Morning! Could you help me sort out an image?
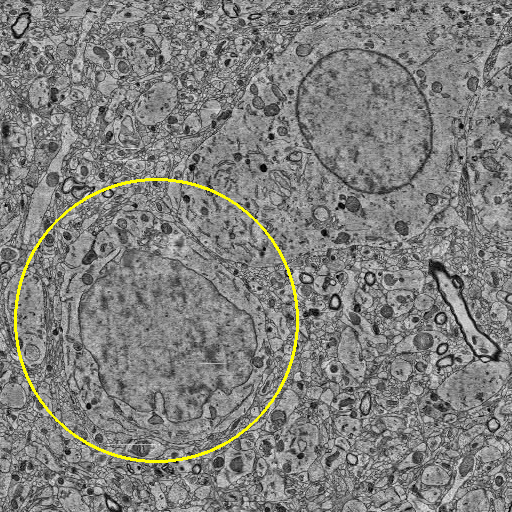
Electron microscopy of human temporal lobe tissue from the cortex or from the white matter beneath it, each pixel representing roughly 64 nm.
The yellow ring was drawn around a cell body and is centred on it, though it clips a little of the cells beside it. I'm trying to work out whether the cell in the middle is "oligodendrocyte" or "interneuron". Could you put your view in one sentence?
The ringed cell body is that of an interneuron.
